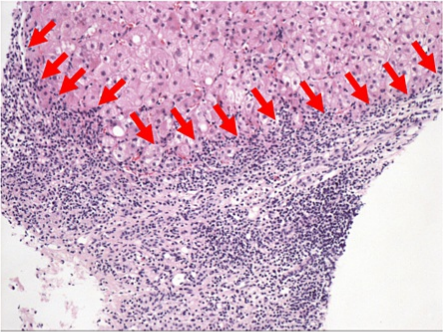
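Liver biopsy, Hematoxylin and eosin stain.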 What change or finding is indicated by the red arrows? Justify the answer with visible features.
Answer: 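Interface hepatitis. A dense infiltrate of small dark round nuclei fills the lower part of the panel. The arrows line the border between the pink hepatocytes and the infiltrate. Inflammatory cells extend into the edge of the hepatocyte area.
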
